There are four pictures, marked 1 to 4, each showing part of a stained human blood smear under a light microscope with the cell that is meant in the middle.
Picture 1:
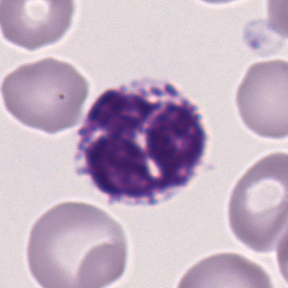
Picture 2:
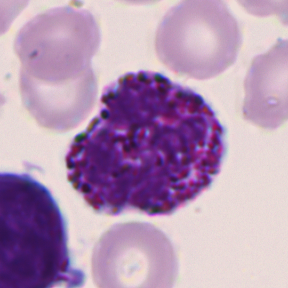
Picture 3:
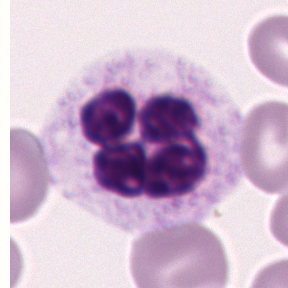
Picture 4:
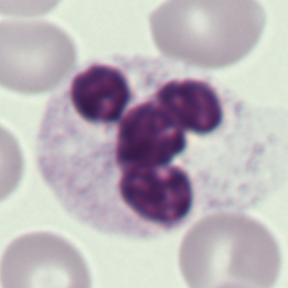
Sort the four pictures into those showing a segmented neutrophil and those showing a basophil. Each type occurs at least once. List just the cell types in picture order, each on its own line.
basophil
basophil
segmented neutrophil
segmented neutrophil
